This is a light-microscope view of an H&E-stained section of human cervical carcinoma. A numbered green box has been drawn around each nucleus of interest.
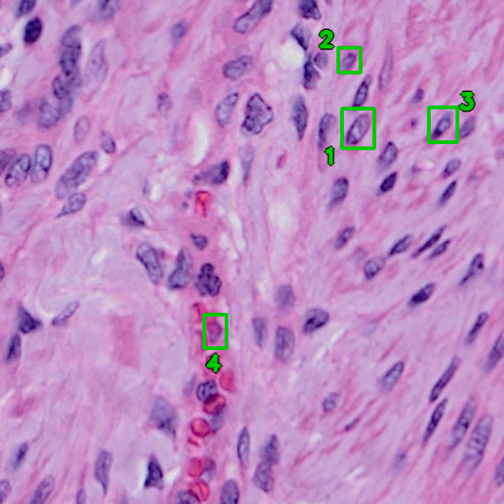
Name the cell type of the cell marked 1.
smooth muscle cell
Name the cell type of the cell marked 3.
smooth muscle cell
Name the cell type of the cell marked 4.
endothelial cell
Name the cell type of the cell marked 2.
smooth muscle cell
